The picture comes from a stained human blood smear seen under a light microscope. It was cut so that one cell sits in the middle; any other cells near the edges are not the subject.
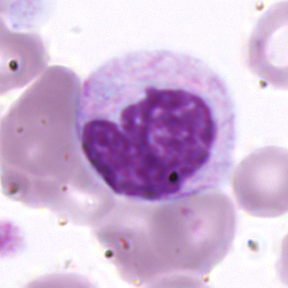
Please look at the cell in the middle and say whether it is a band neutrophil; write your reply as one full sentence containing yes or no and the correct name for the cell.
Yes, in this crop the cell in the middle is a band neutrophil.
